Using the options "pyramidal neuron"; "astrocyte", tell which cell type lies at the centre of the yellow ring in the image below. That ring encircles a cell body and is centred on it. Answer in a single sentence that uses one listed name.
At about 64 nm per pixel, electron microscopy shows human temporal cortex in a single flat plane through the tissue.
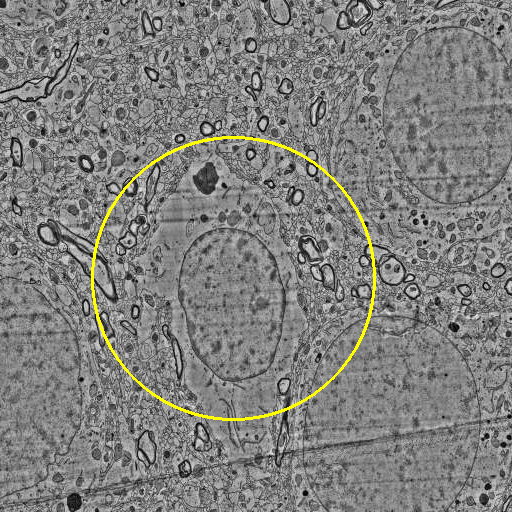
At the centre of the yellow ring lies the body of an astrocyte.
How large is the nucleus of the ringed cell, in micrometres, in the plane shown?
Approximately 10 x 7 micrometres in this plane.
